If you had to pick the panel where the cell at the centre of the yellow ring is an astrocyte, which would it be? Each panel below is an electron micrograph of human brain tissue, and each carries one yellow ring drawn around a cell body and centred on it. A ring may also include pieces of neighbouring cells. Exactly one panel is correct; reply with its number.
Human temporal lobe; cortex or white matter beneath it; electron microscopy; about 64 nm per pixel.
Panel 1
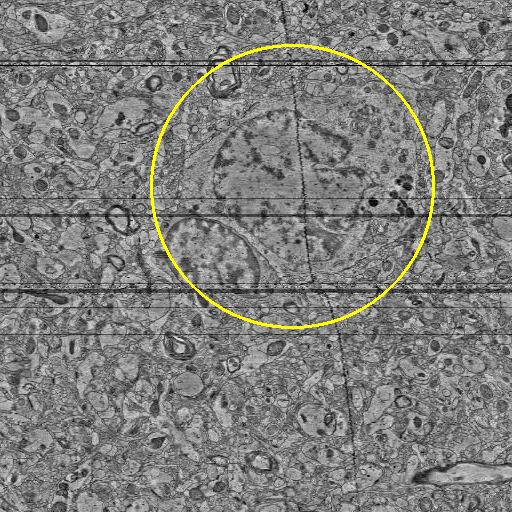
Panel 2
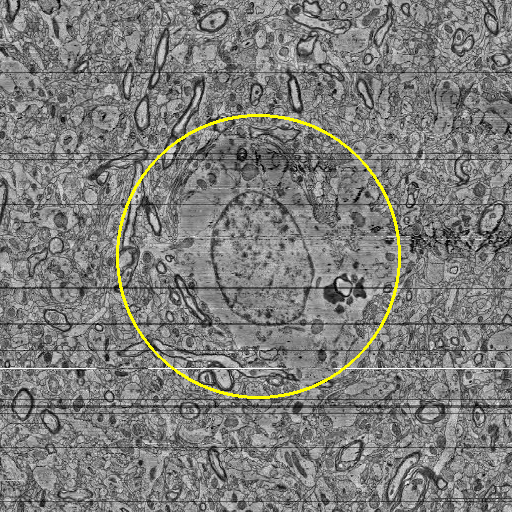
2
